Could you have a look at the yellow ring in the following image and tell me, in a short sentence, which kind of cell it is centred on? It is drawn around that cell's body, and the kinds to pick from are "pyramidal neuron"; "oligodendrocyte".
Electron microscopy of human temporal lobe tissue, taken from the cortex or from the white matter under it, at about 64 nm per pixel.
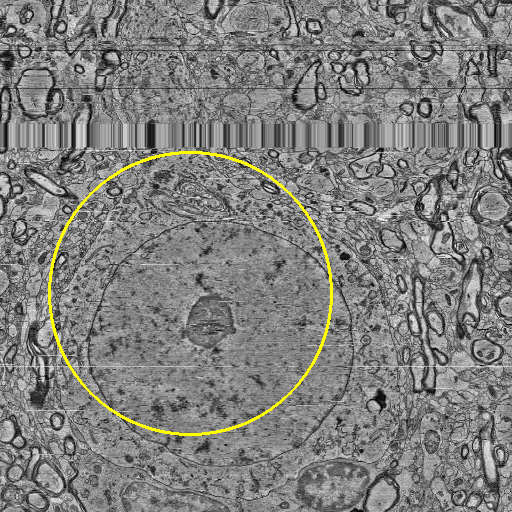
The ring is centred on the body of a pyramidal neuron.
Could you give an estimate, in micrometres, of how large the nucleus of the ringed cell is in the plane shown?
Roughly 17 micrometres across, measured in this plane.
